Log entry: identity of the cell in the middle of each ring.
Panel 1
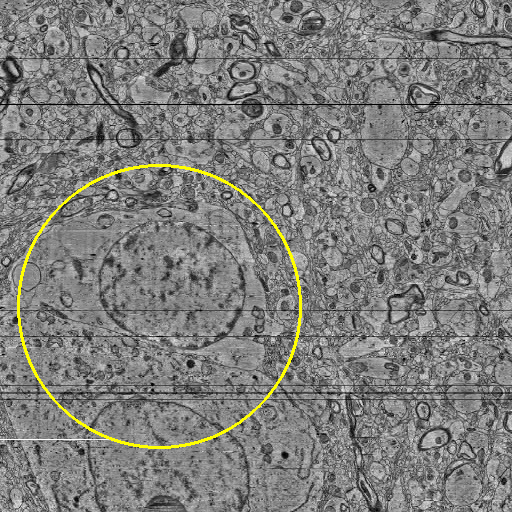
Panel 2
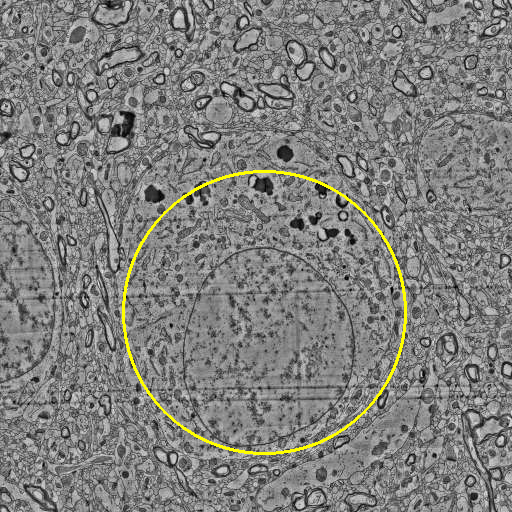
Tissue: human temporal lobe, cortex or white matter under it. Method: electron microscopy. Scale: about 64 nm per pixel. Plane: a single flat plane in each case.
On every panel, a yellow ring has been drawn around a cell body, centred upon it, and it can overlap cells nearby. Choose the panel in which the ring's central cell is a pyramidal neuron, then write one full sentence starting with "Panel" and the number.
Panel 2 shows the requested cell sitting in the middle of its ring.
